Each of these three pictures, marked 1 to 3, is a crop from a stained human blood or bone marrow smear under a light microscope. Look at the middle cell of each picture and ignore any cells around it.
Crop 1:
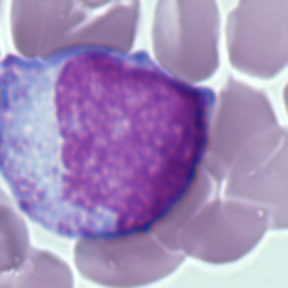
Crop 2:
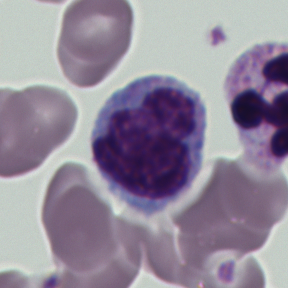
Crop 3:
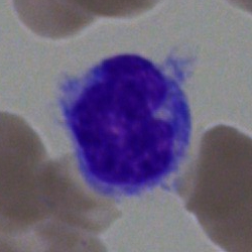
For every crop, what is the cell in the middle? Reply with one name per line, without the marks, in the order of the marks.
promyelocyte
monocyte
monocyte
